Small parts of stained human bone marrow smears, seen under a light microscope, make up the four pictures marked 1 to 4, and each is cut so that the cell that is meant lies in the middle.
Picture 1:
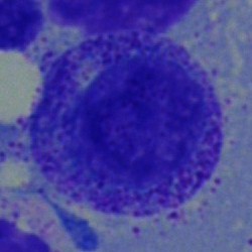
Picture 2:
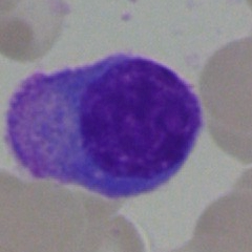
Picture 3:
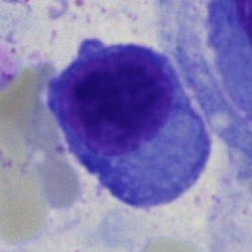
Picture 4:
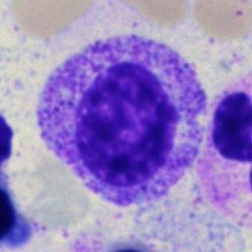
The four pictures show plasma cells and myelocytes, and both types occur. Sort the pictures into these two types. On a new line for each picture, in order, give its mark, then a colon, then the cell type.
1: myelocyte
2: plasma cell
3: plasma cell
4: myelocyte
